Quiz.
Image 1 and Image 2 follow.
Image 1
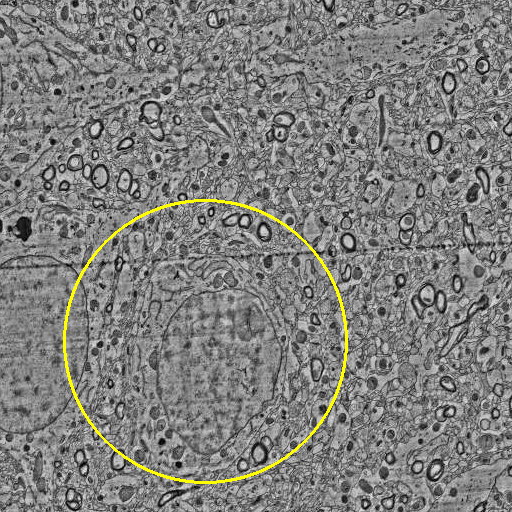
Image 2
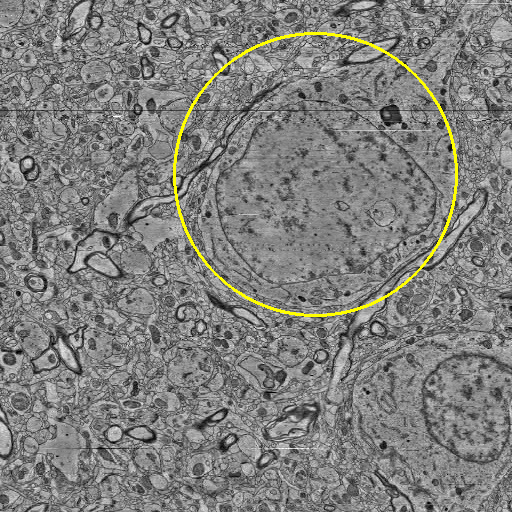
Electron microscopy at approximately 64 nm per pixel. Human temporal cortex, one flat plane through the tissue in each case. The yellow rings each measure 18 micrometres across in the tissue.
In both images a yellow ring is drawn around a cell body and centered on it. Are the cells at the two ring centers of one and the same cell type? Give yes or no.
yes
